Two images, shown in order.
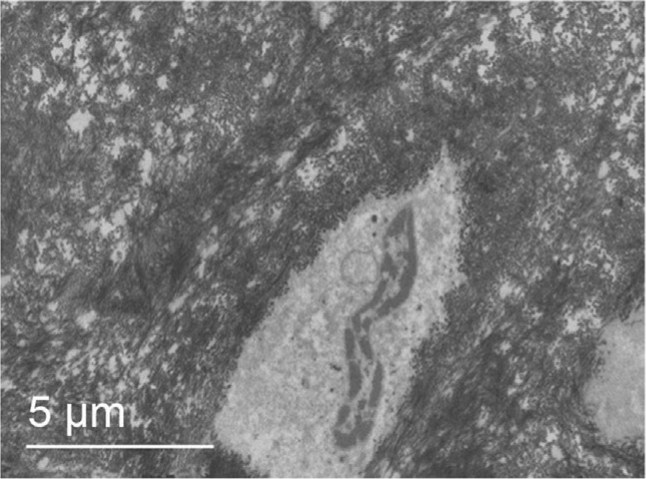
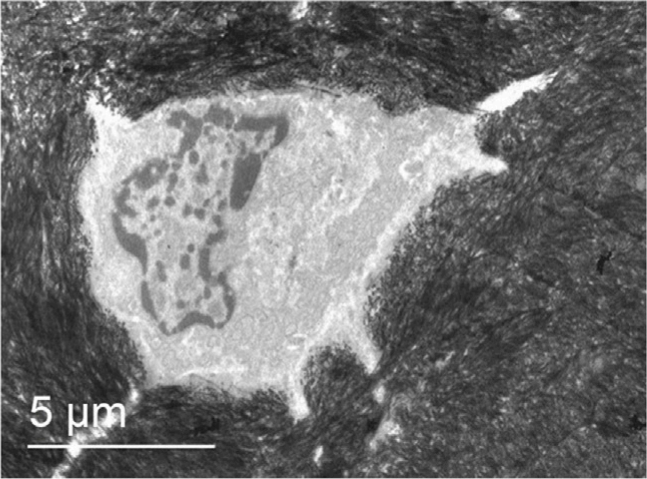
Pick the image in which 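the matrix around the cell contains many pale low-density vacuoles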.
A: The first image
